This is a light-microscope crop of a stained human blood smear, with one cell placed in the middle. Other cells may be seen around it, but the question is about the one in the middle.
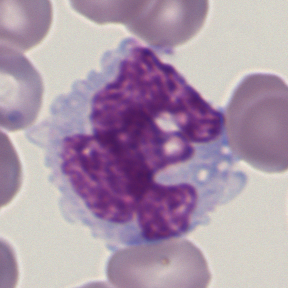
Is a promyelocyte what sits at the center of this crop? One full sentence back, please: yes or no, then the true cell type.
No, the cell in the middle of the crop counts as a monocyte and not as a promyelocyte.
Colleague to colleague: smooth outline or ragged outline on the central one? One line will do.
This cell does not have a smooth edge; it is ragged or extended into projections.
